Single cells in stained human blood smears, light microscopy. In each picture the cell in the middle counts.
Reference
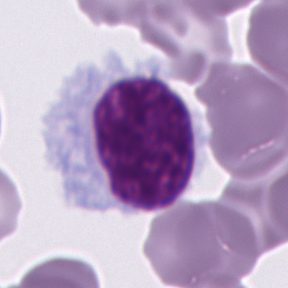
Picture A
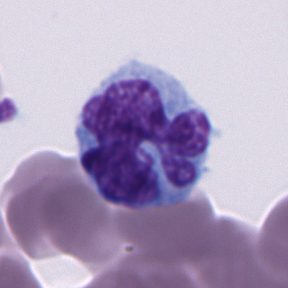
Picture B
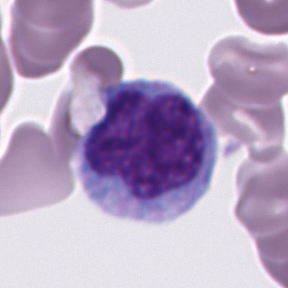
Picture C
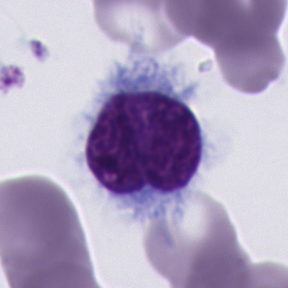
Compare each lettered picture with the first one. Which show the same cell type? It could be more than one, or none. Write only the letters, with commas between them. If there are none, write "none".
C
